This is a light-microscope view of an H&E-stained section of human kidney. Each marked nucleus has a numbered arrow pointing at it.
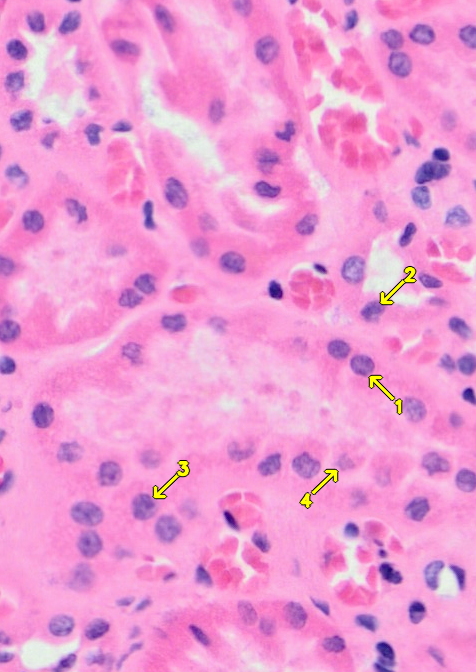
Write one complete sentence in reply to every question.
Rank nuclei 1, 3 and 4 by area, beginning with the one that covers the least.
From smallest to largest, the order is 4, 1, 3.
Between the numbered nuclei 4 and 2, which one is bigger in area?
Nucleus 2 is the larger one, covering about 2 times the area of nucleus 4.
